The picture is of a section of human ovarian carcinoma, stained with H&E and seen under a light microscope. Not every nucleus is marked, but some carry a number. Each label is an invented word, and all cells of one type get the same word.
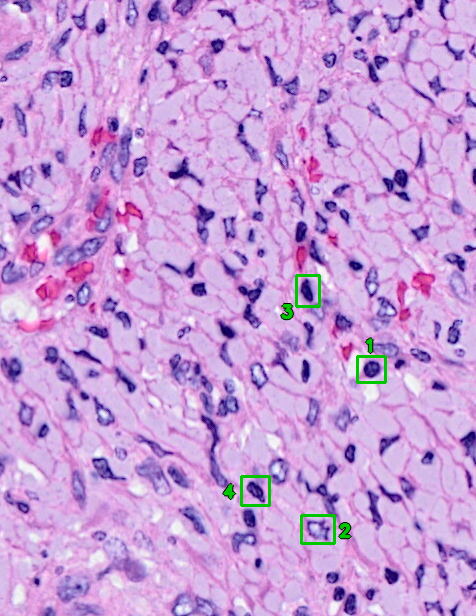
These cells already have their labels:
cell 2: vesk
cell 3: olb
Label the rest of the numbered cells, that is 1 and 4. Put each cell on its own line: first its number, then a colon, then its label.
1: olb
4: olb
